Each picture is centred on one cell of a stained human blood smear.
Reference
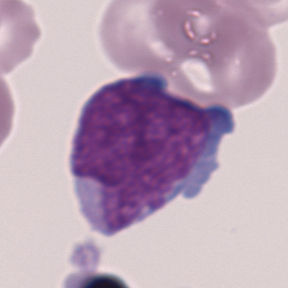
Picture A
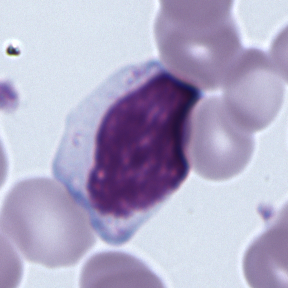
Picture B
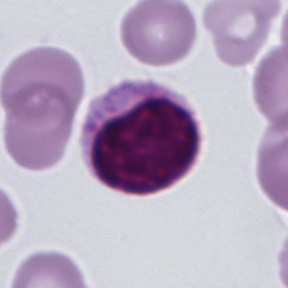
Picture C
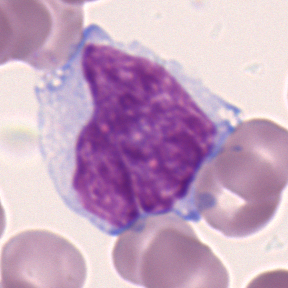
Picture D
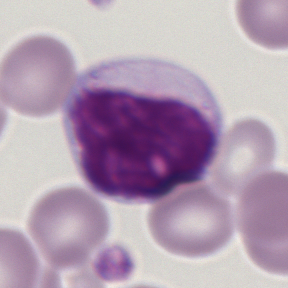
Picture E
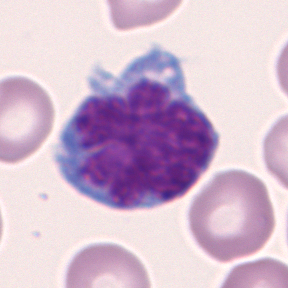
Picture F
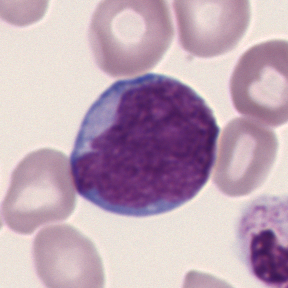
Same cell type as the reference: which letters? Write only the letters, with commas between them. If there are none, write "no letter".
C, E, F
